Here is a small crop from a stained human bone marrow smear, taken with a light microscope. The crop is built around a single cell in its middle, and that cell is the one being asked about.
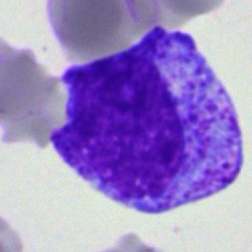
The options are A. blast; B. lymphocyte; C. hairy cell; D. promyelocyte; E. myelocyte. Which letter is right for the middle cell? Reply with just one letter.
D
